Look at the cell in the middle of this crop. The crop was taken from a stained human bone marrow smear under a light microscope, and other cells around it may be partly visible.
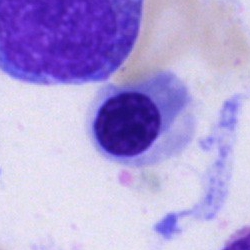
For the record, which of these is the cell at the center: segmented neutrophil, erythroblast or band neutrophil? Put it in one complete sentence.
Looking at the middle of the crop, the cell there is an erythroblast.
